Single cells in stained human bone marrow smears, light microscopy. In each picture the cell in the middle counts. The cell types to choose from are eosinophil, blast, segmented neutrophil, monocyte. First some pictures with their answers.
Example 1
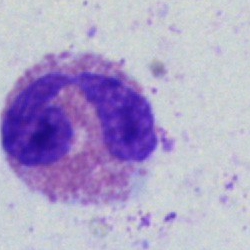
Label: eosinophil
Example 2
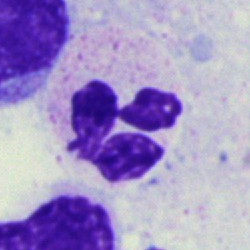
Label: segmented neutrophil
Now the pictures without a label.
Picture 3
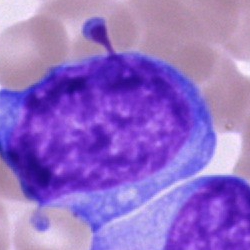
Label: blast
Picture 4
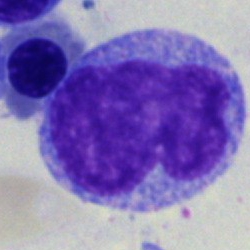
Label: monocyte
